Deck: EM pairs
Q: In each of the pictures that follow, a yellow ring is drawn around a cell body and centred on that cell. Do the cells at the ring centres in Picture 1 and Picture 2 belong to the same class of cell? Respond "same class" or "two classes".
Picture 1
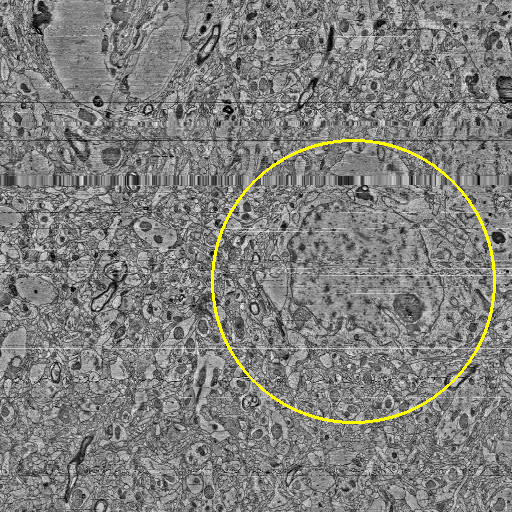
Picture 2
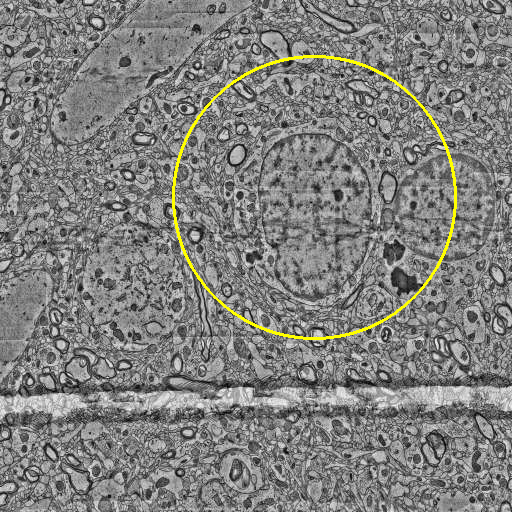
same class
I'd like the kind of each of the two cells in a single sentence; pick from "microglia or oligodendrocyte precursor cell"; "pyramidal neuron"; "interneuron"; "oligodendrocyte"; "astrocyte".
Both rings mark an interneuron, one in each picture.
